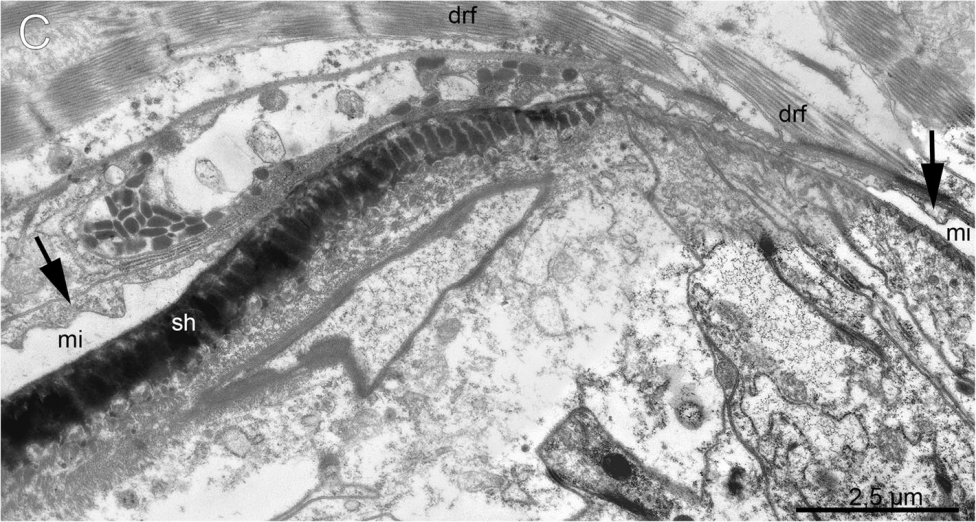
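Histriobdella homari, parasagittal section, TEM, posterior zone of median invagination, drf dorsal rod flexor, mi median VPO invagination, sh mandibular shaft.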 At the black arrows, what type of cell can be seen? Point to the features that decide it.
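Very thin pharyngeal epithelial cells. The arrows point to thin, membrane-like cell layers lining a pale cleft. These layers are only a fraction of a micrometre thick.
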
